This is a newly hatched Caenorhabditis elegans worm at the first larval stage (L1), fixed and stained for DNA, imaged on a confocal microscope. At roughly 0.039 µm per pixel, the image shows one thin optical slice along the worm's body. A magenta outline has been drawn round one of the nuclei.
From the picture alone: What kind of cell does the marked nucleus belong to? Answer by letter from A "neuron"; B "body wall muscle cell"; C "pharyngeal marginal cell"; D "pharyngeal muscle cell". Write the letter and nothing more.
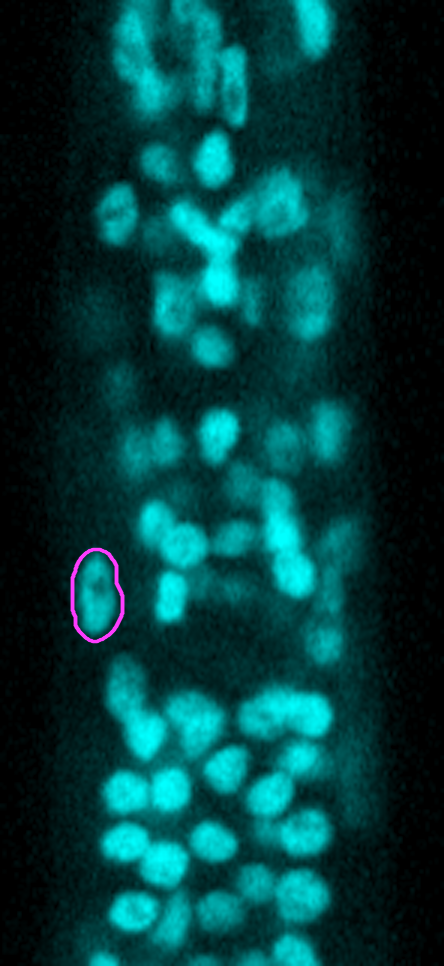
B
